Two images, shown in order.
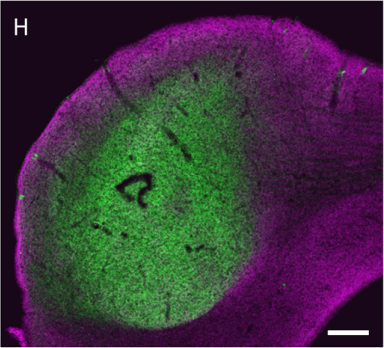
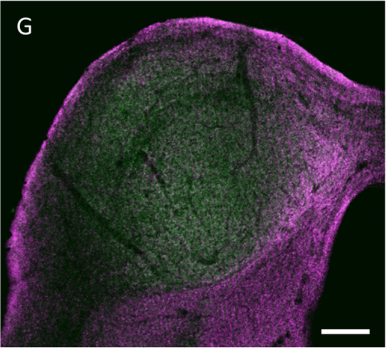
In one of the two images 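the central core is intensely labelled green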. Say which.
The first image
